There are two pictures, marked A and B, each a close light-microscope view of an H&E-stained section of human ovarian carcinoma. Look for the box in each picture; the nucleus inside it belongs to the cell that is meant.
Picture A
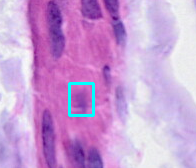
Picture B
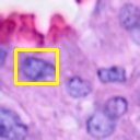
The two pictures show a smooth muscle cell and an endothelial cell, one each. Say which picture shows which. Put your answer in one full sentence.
In picture A the cell is a smooth muscle cell; in picture B, an endothelial cell.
